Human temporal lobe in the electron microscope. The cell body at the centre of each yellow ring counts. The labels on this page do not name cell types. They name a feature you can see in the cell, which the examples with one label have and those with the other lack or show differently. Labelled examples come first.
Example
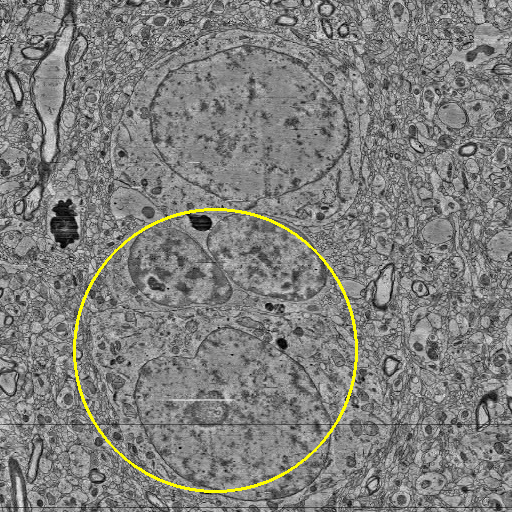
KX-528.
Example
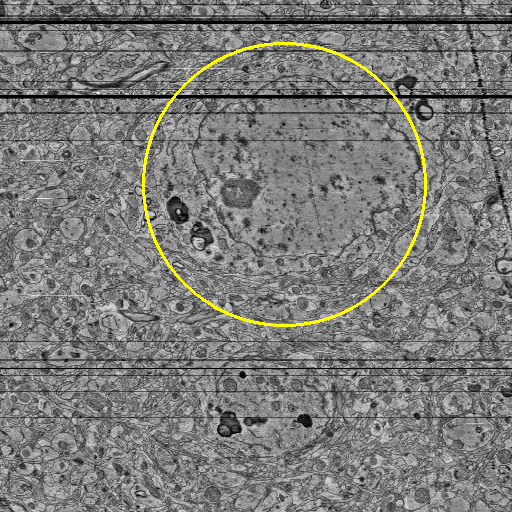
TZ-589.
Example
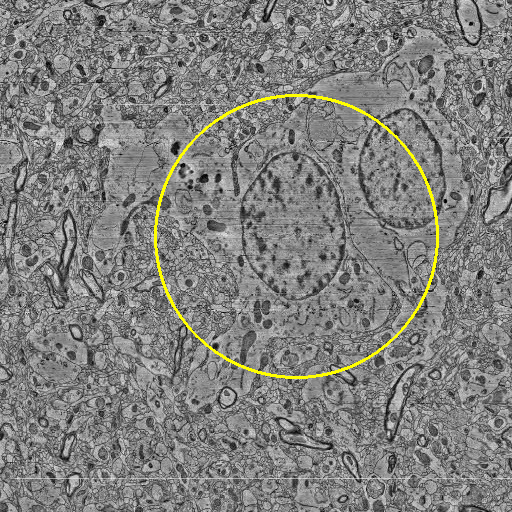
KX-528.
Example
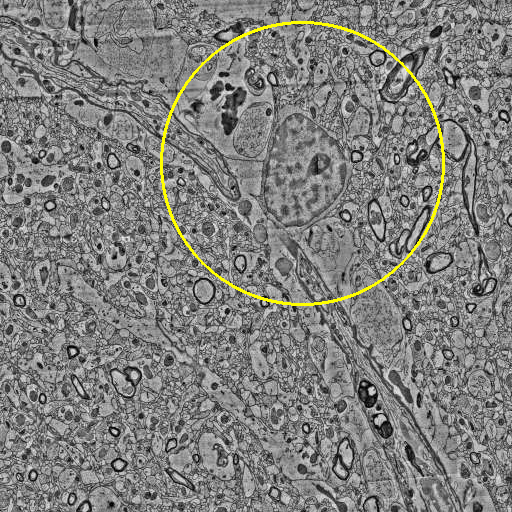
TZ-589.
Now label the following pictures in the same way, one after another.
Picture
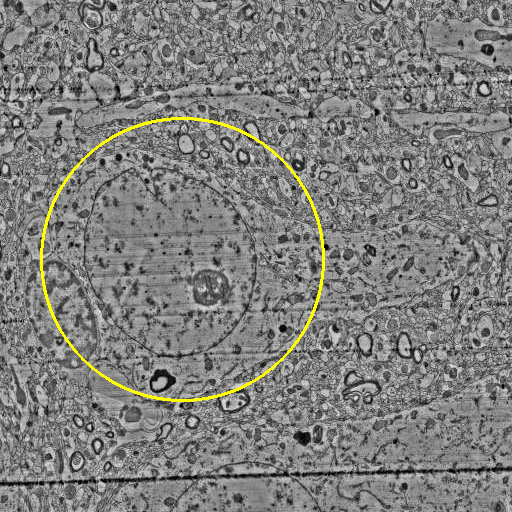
TZ-589.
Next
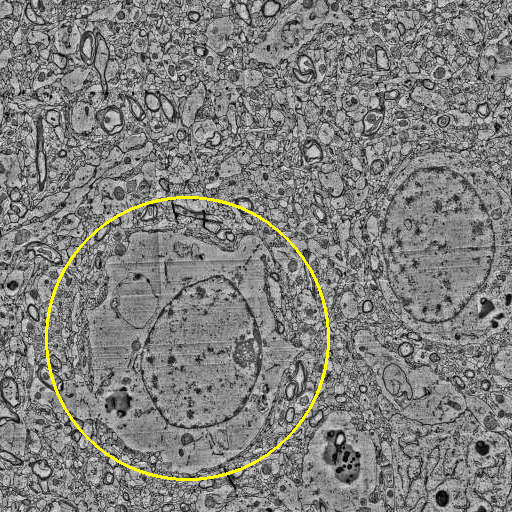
TZ-589.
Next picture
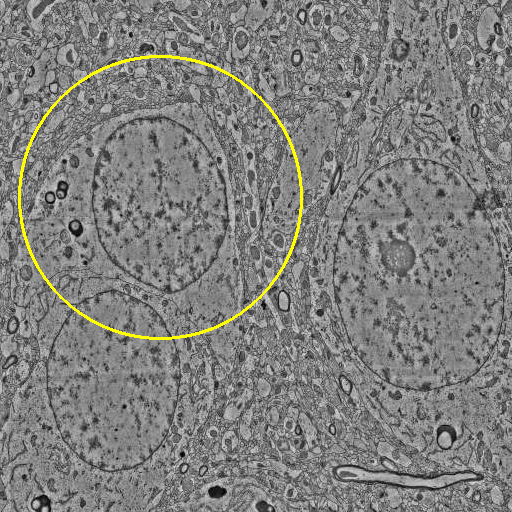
KX-528.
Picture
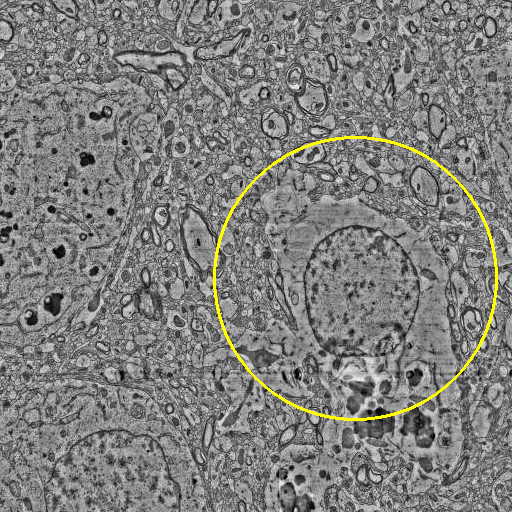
KX-528.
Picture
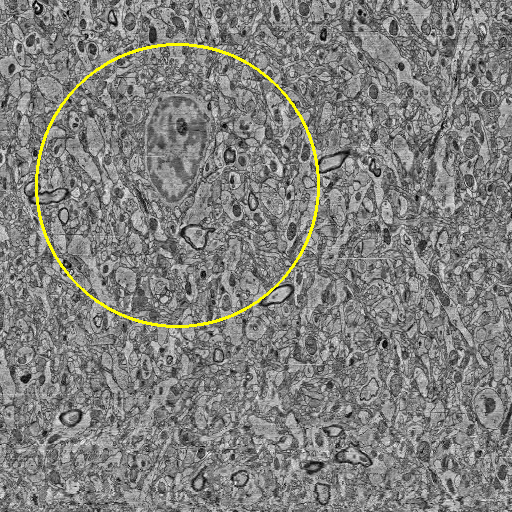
TZ-589.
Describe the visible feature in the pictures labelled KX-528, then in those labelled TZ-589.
Seen in KX-528: no nucleolus seen; seen in TZ-589: nucleolus seen.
